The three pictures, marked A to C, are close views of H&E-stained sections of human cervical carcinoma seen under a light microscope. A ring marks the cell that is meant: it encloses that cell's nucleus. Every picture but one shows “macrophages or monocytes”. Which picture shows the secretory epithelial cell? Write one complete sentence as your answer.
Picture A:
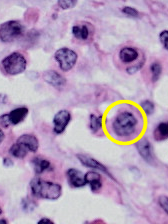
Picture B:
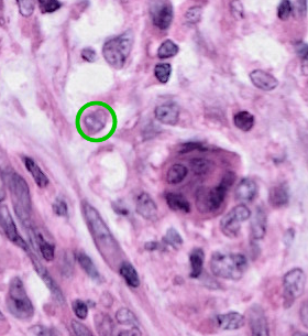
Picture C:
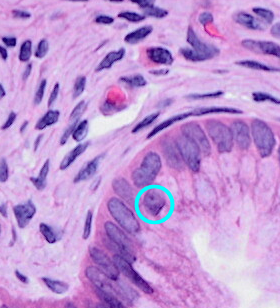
Picture C is the one that shows the secretory epithelial cell.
